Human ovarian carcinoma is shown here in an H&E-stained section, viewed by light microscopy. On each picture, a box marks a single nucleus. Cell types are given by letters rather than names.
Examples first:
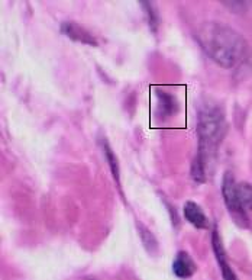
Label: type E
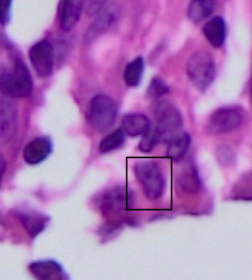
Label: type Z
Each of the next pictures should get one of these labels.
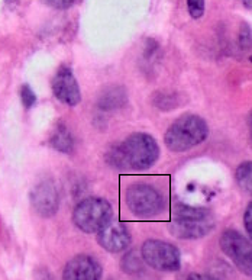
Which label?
type Z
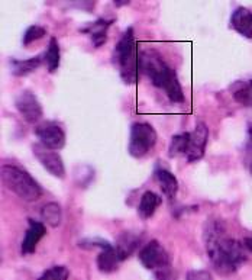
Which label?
type Z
